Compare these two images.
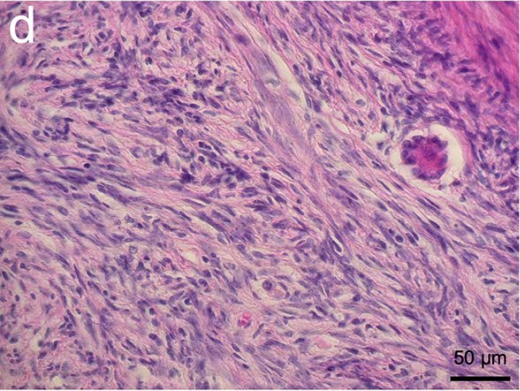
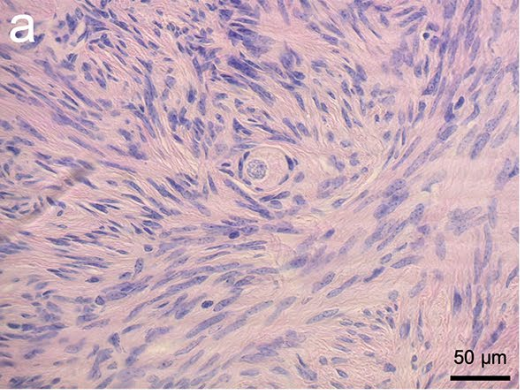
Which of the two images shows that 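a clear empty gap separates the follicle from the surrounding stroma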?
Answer: The first image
